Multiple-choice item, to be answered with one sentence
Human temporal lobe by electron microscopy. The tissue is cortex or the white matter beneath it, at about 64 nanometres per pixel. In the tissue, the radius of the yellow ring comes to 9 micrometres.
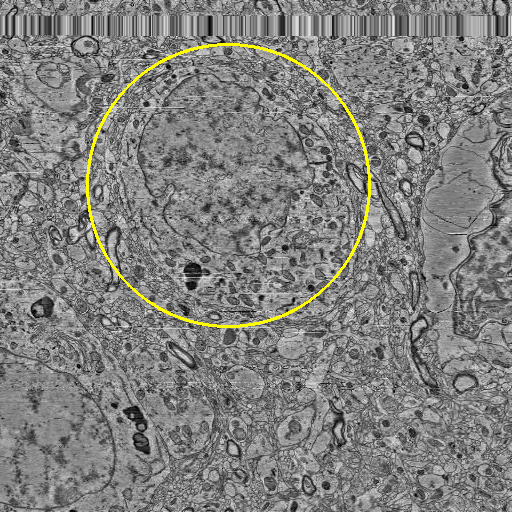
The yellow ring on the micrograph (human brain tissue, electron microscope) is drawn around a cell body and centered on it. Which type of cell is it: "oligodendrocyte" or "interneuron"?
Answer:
The ring is centered on an interneuron.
